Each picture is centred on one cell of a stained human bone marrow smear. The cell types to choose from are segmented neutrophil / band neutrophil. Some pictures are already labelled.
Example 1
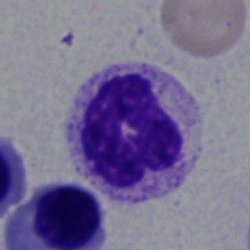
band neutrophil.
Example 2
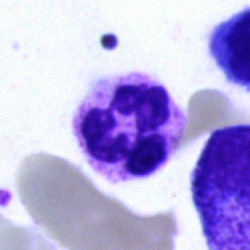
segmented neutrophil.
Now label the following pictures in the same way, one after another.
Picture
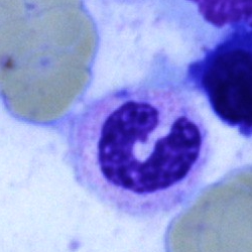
segmented neutrophil.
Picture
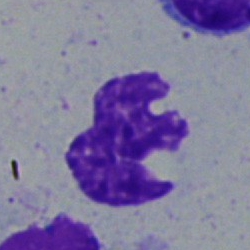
segmented neutrophil.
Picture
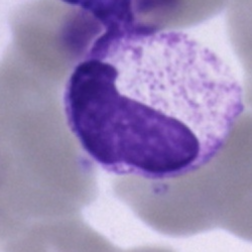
band neutrophil.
